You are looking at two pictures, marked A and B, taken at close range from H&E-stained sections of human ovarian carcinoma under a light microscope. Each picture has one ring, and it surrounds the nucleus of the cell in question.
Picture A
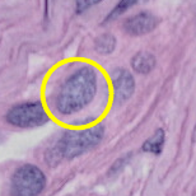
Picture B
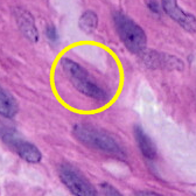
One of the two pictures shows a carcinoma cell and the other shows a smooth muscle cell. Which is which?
A: carcinoma cell
B: smooth muscle cell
